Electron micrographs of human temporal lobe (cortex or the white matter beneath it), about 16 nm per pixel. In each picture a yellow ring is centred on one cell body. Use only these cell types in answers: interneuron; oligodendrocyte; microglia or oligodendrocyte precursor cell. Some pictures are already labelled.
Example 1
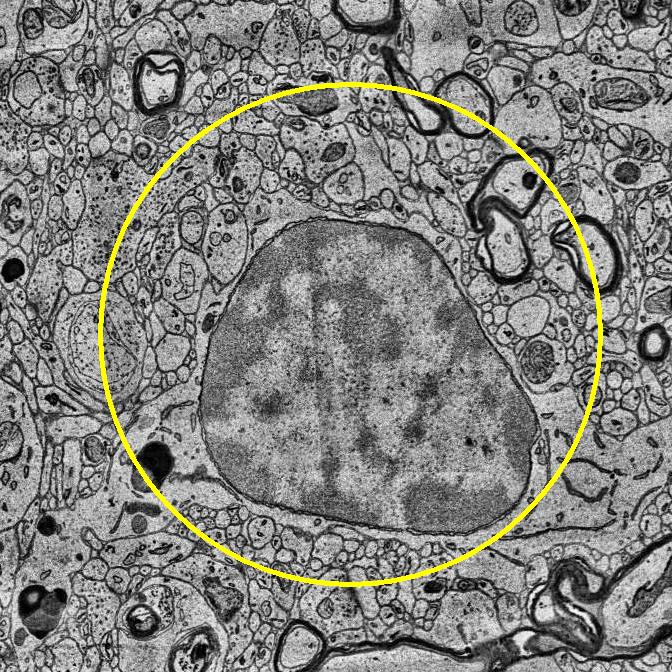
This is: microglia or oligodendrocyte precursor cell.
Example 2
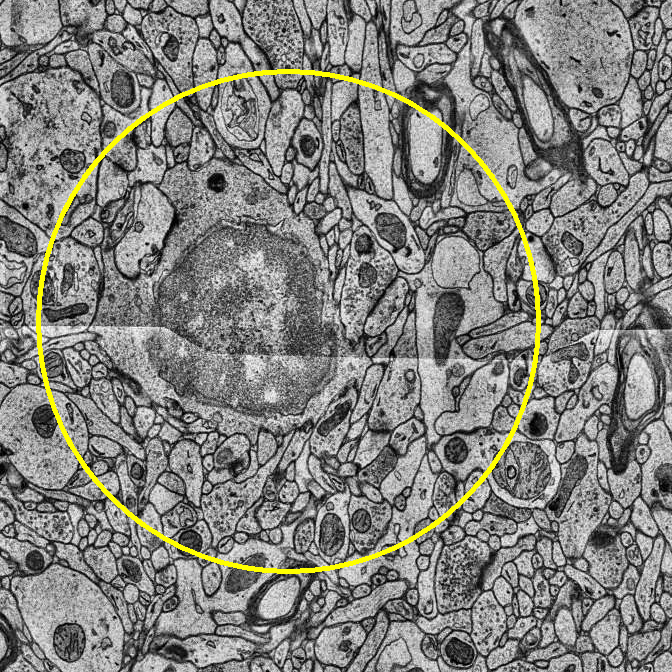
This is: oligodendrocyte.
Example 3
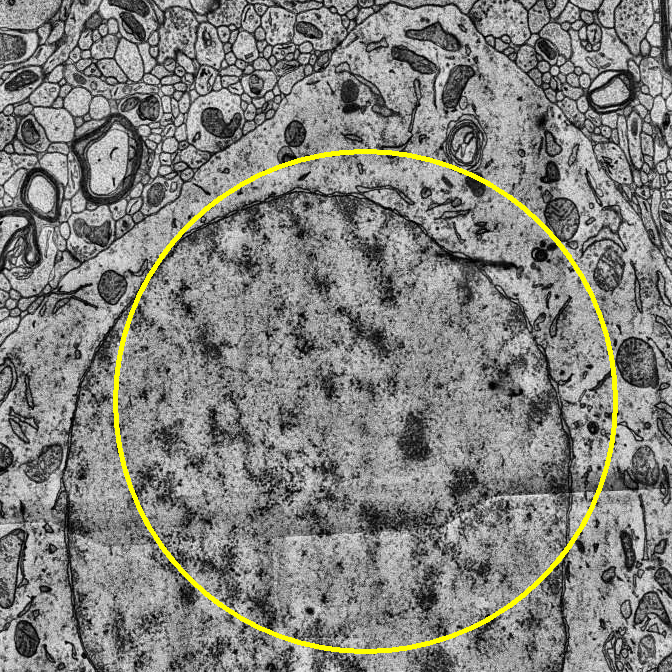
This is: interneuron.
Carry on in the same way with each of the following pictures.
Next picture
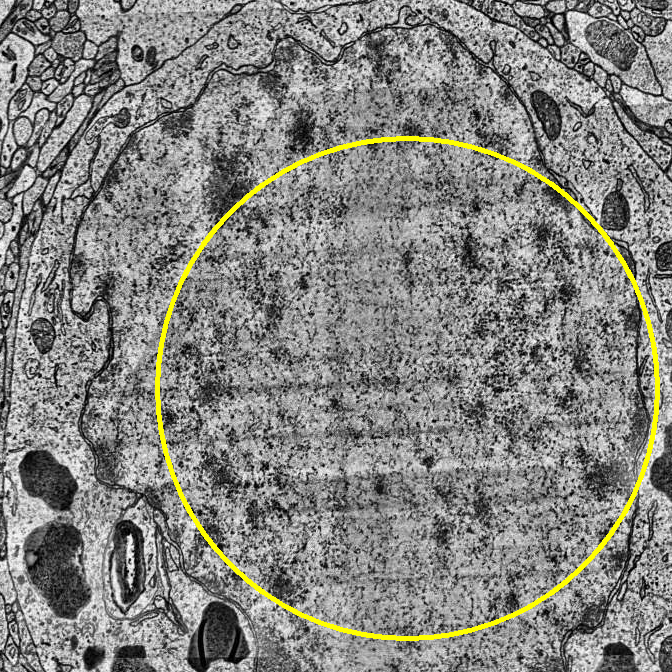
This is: interneuron.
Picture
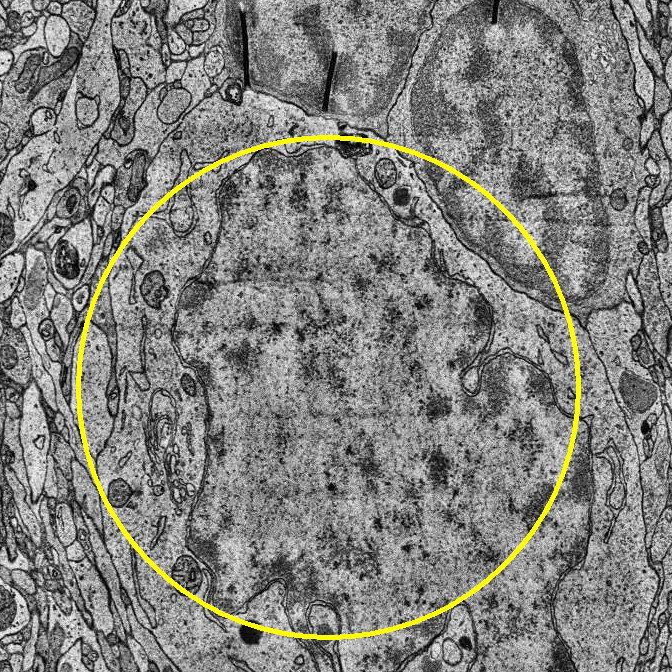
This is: interneuron.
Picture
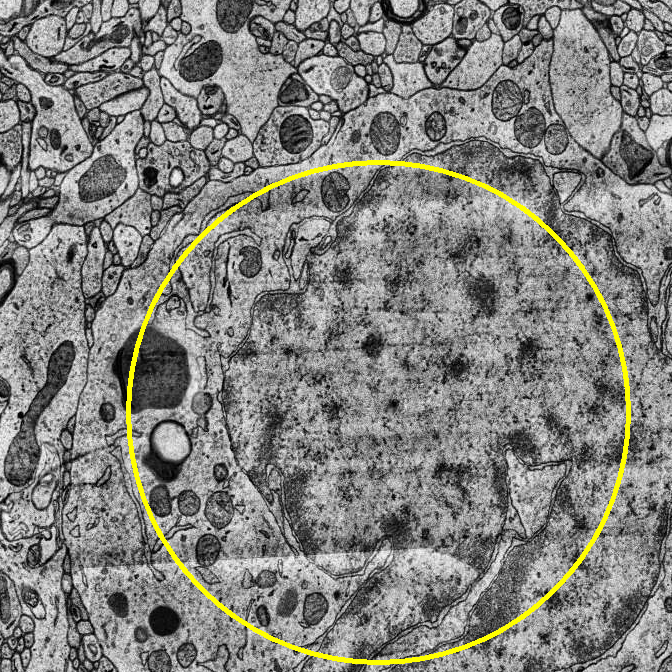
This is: interneuron.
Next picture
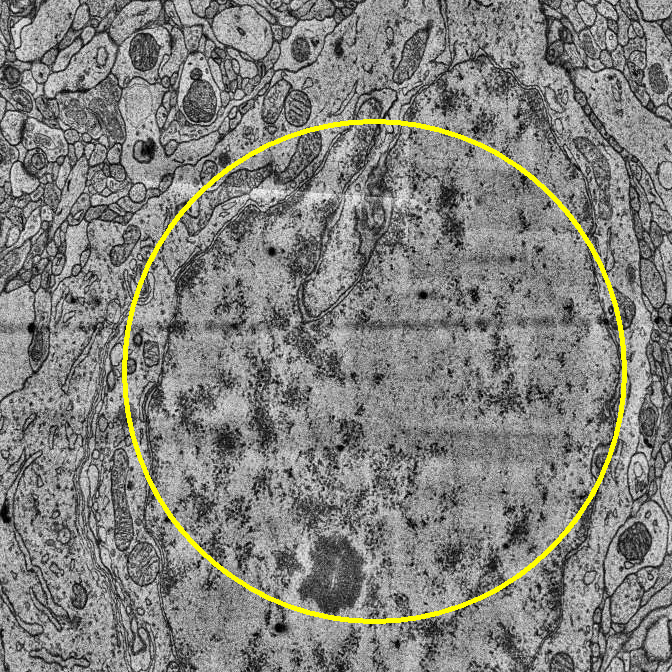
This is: interneuron.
